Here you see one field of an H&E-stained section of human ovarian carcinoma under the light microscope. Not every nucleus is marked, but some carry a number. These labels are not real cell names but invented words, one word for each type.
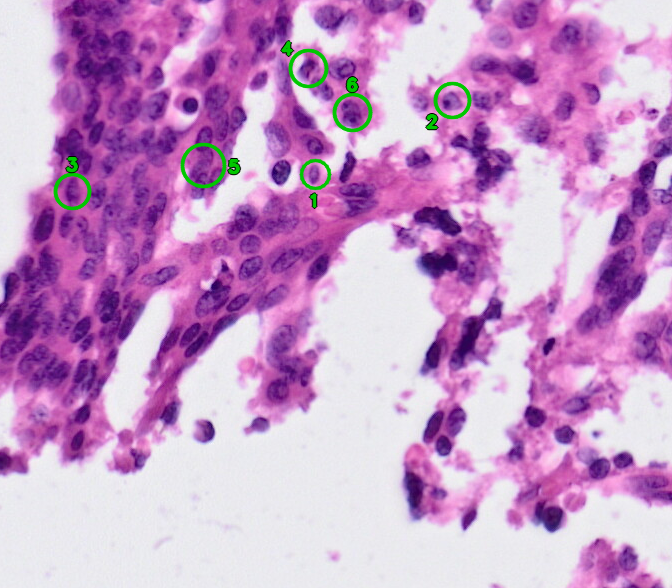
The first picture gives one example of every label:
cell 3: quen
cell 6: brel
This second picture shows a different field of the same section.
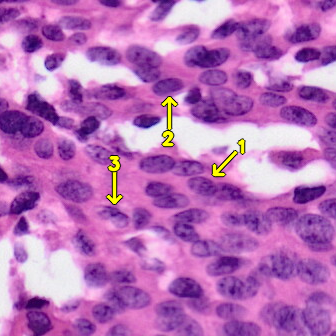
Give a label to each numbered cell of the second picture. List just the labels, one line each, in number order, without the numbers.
quen
quen
brel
